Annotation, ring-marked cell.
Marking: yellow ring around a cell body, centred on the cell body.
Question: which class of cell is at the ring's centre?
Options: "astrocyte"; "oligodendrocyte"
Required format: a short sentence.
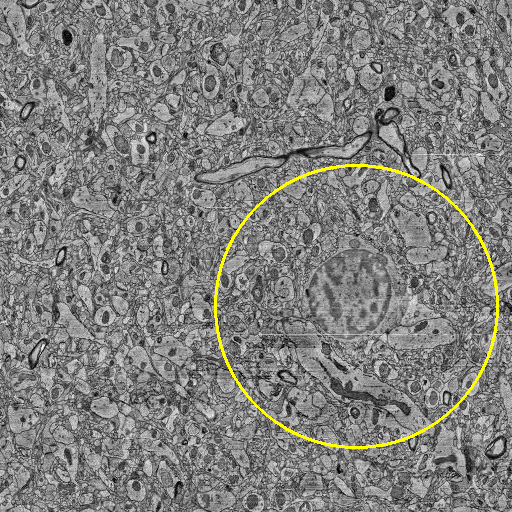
At the ring's centre is an oligodendrocyte.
